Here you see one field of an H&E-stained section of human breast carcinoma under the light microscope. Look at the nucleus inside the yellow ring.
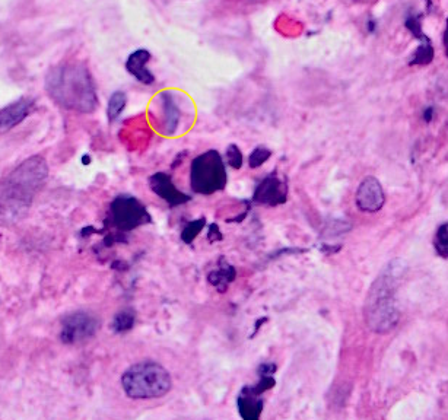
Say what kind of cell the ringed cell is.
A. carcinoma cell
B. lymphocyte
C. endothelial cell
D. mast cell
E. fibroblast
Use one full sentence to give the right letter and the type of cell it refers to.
With the ringed cell being an endothelial cell, option C is correct.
